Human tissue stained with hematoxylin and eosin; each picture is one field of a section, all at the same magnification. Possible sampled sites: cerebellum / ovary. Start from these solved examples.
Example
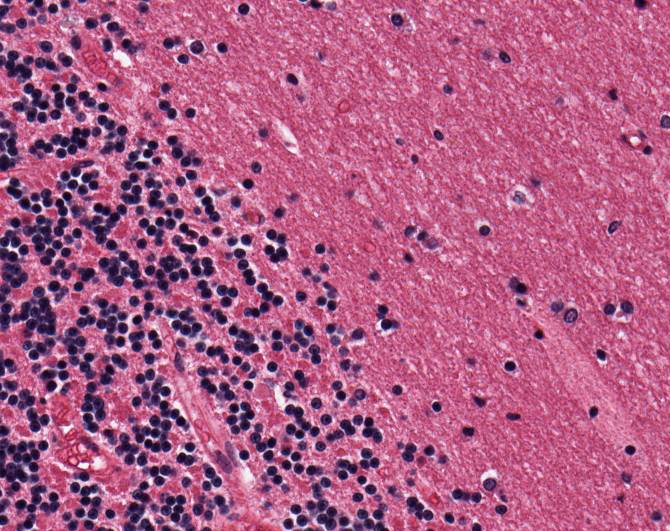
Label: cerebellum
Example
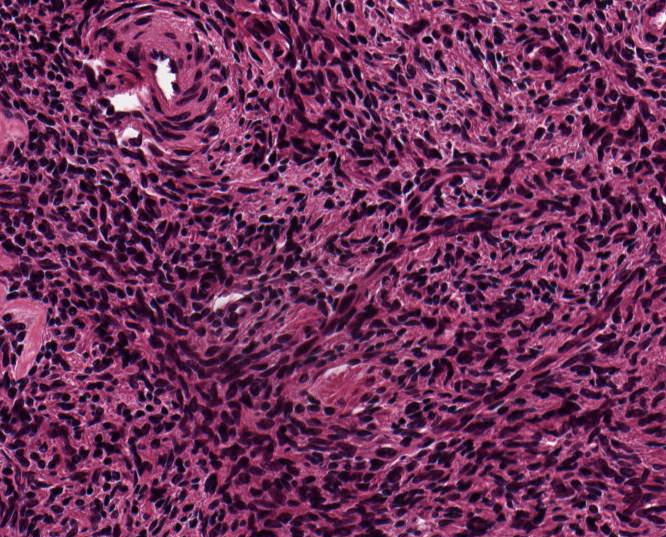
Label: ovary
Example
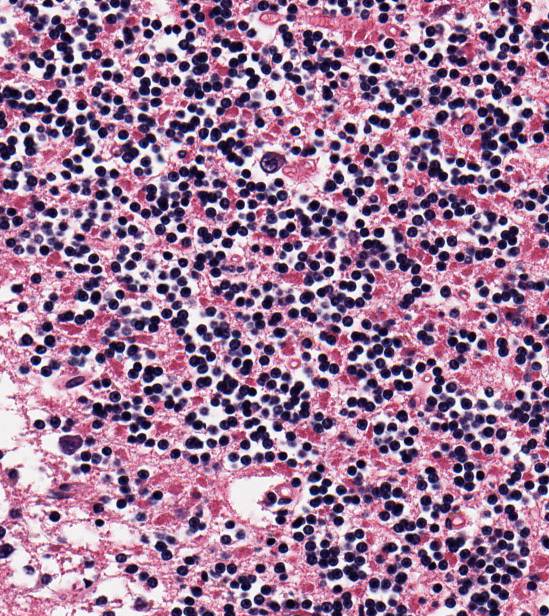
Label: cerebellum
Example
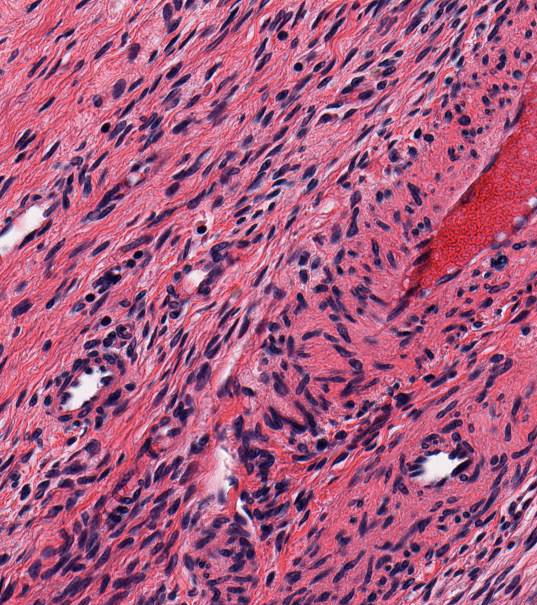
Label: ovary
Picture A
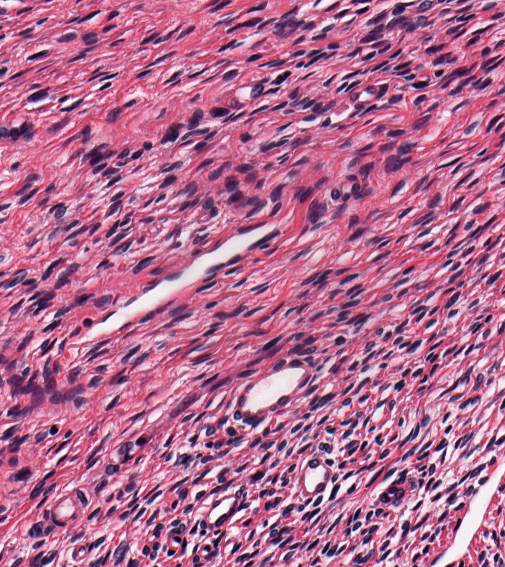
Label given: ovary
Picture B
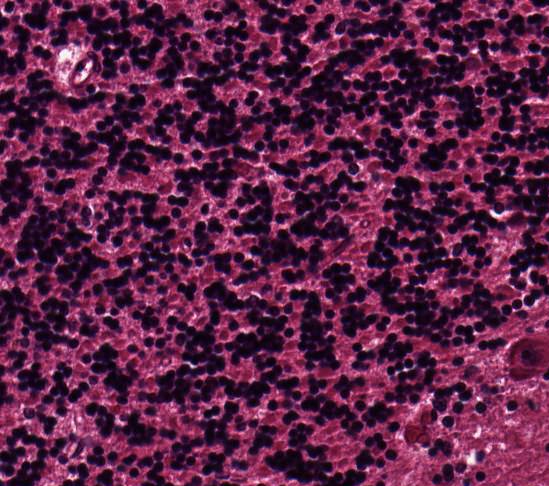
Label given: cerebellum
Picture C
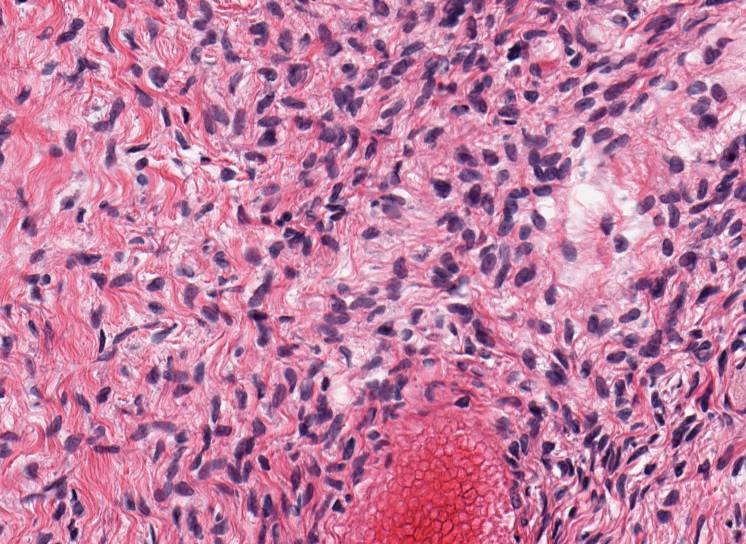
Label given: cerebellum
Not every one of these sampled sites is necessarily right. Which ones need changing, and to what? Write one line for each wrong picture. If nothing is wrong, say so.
C: change cerebellum to ovary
